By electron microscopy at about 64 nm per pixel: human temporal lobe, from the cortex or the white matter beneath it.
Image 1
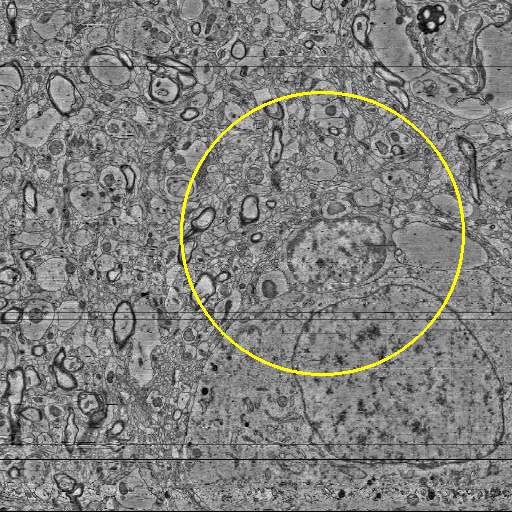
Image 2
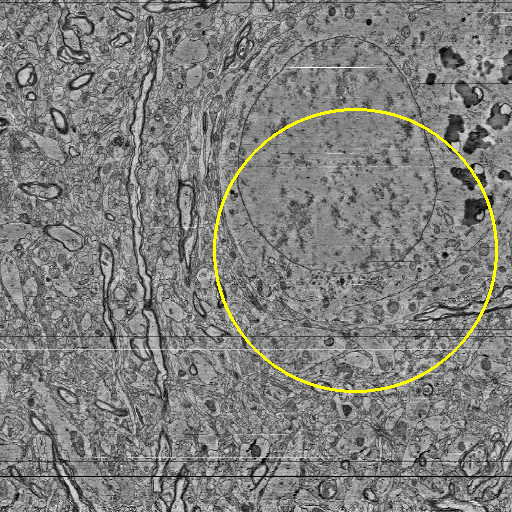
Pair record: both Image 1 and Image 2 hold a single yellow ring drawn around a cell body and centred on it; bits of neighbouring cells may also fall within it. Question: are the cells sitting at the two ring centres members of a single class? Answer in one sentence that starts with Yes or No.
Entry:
No, the ring-centre cells in Image 1 and Image 2 come from two classes.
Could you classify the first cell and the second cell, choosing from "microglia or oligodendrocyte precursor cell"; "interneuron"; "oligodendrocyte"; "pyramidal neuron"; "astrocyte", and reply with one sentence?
The second cell is a pyramidal neuron, while the first is an oligodendrocyte.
